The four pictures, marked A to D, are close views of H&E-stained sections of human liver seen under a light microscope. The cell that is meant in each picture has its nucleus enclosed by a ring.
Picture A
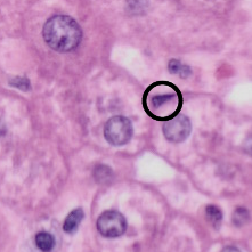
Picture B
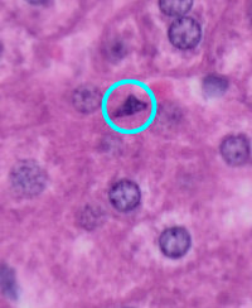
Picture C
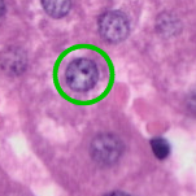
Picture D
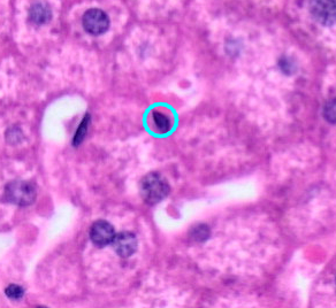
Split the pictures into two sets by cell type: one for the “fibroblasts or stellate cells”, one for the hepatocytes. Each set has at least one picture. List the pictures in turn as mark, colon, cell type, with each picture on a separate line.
A: fibroblast or stellate cell
B: fibroblast or stellate cell
C: hepatocyte
D: fibroblast or stellate cell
